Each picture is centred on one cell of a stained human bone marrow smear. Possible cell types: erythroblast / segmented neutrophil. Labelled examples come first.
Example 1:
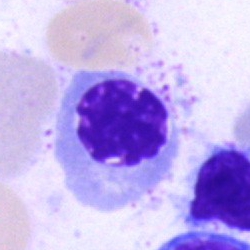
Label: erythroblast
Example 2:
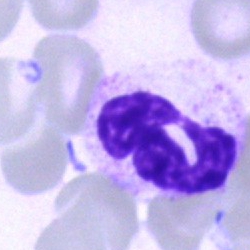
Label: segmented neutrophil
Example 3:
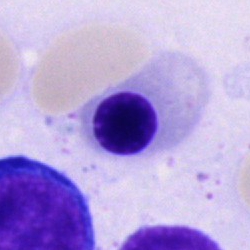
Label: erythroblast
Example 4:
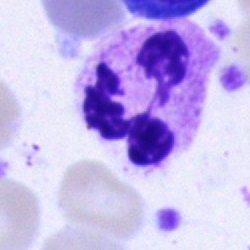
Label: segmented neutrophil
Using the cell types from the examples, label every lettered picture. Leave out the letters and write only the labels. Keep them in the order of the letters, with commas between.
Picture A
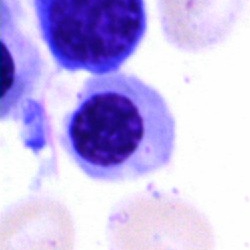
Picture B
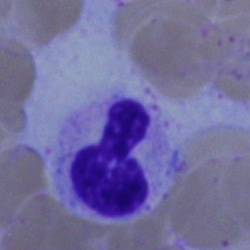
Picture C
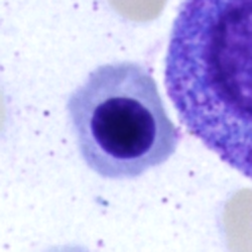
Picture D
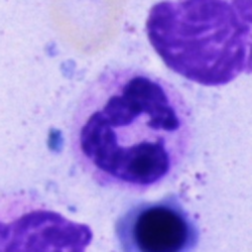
erythroblast, segmented neutrophil, erythroblast, segmented neutrophil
